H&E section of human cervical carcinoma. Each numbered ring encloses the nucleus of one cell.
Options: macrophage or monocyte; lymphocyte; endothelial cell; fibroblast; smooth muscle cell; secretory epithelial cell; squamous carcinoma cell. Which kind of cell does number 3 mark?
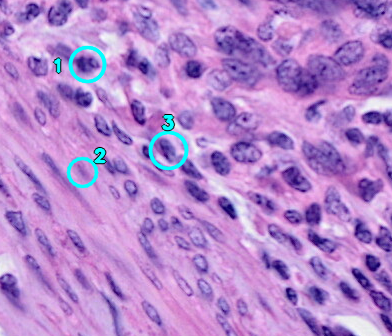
lymphocyte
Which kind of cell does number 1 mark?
lymphocyte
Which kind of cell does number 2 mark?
smooth muscle cell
